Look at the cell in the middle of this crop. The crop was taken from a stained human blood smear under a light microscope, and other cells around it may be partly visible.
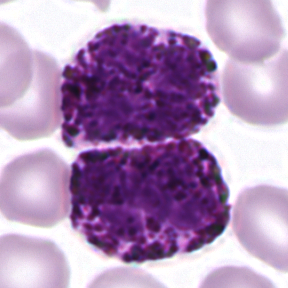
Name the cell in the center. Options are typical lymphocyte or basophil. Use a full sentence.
In this crop, the cell at the very middle is a basophil.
